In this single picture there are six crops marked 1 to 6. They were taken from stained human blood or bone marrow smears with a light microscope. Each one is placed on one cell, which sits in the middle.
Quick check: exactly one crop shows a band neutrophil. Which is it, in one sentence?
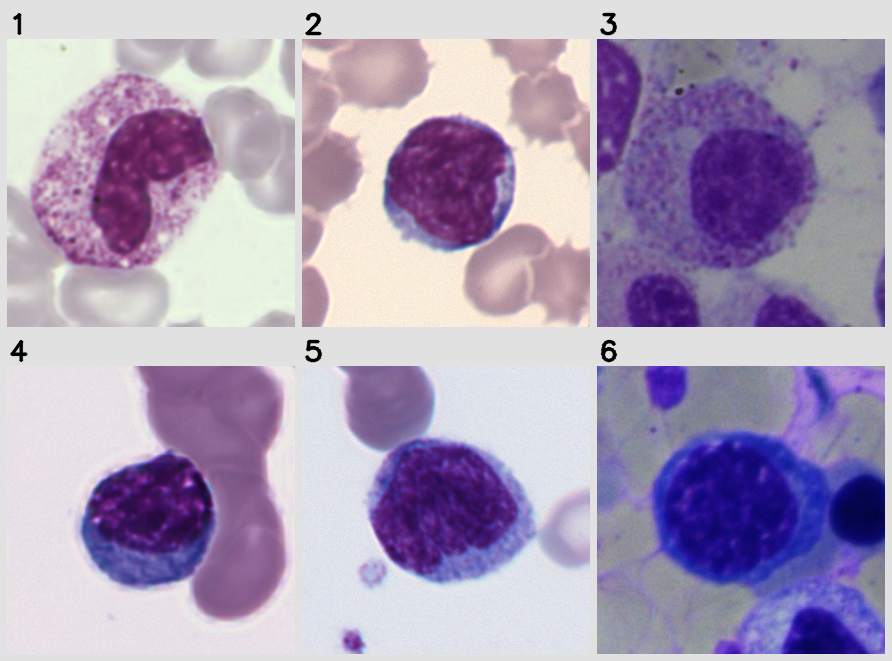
Crop 1 is the one to choose: it shows a band neutrophil.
